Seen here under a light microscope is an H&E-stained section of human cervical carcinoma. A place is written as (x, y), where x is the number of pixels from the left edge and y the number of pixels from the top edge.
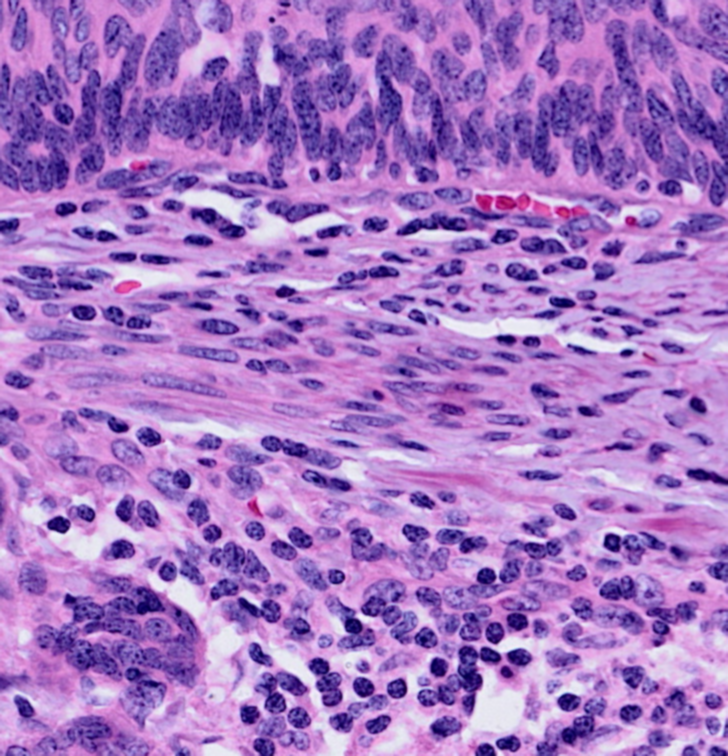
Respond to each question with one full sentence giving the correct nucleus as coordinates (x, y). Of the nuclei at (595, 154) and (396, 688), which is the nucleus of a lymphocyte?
Of the two nuclei present, the one at (396, 688) is within a lymphocyte.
